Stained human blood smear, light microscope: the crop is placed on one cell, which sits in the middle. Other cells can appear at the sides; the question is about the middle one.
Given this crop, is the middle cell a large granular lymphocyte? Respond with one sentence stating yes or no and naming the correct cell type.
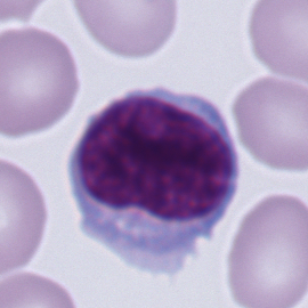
No, the cell at the centre of the crop corresponds to a typical lymphocyte, not a large granular lymphocyte.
